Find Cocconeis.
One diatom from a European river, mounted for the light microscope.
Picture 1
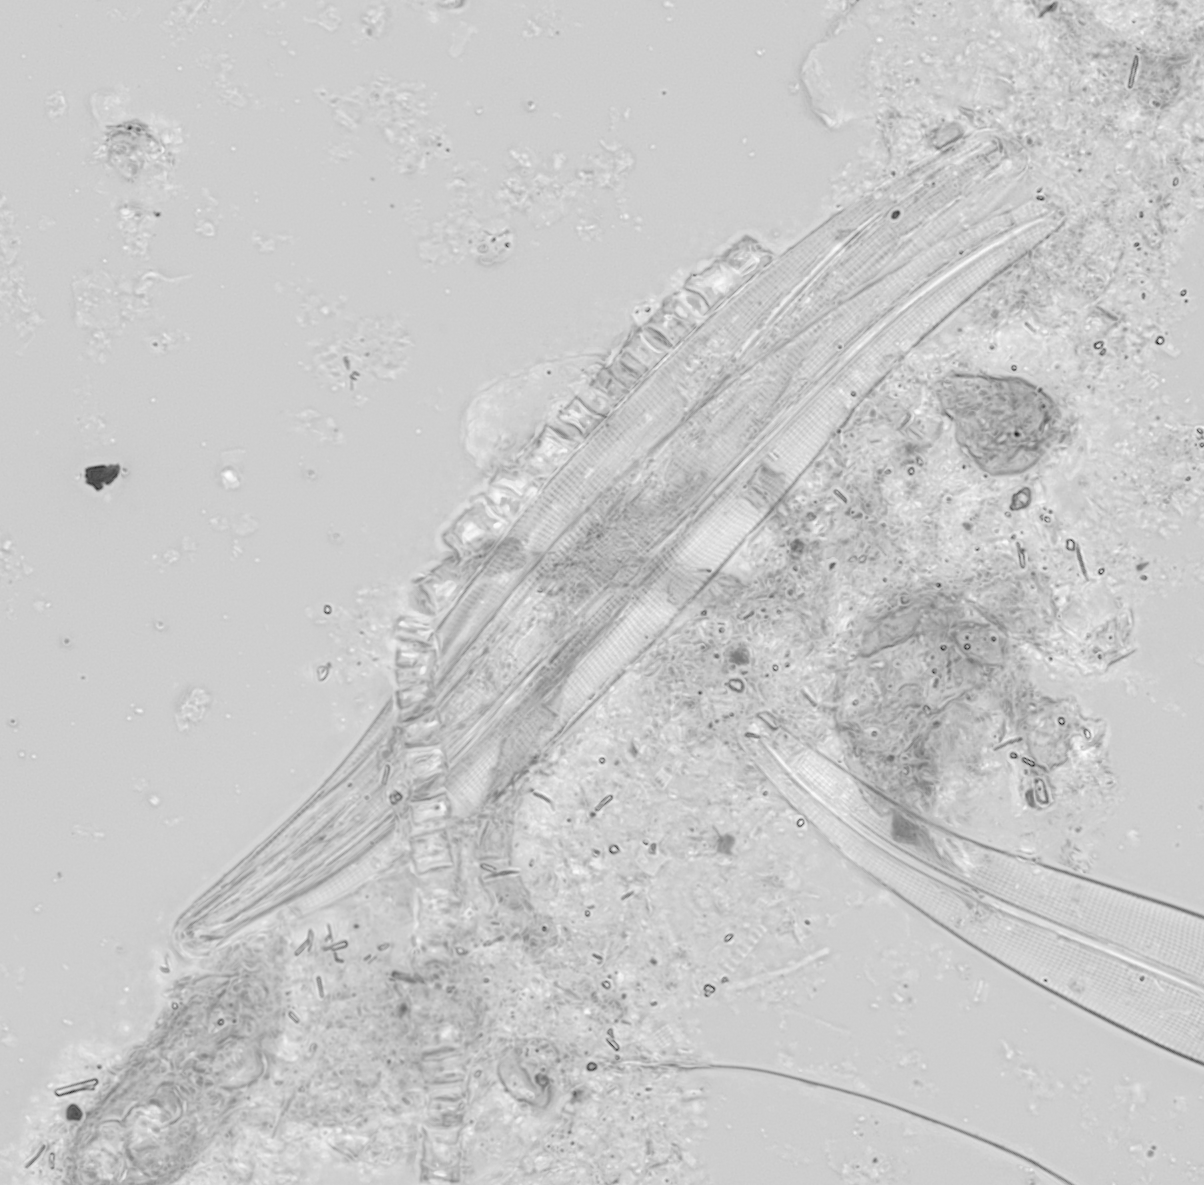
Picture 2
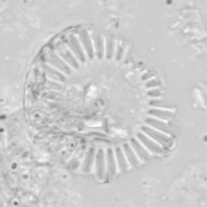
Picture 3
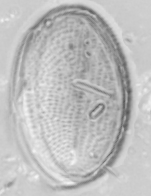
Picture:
3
